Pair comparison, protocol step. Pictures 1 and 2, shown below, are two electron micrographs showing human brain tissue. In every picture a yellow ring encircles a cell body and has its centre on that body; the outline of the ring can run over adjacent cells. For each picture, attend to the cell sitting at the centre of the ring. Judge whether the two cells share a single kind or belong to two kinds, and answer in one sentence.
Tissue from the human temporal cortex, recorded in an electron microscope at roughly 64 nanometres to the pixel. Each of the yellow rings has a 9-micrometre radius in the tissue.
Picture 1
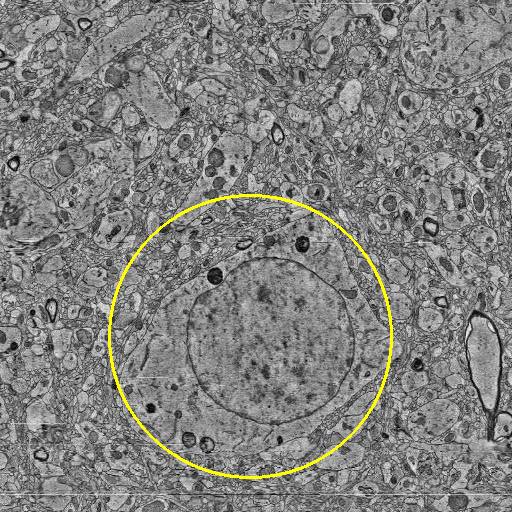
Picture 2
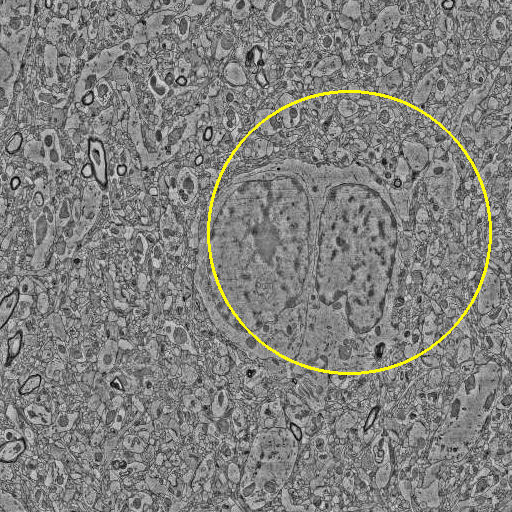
The two cells at the ring centres in Picture 1 and Picture 2 belong to two kinds.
